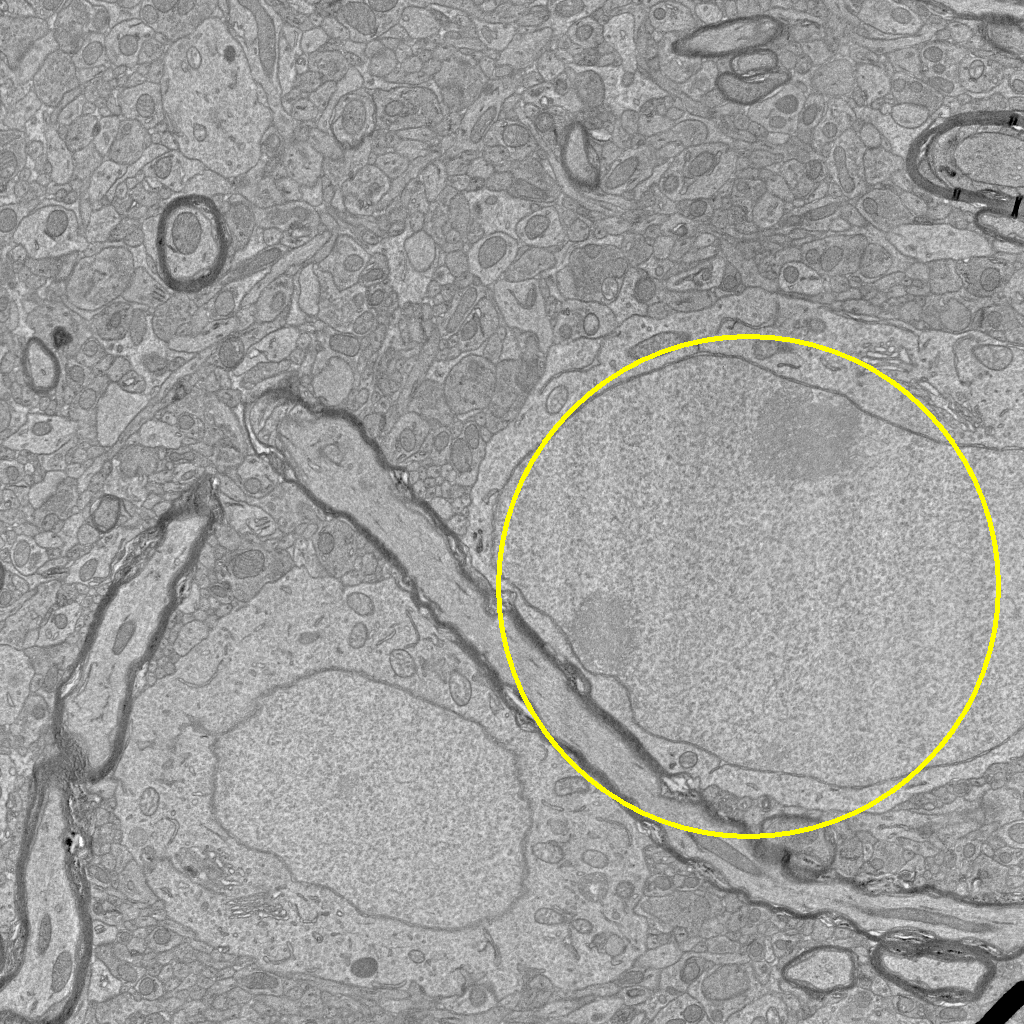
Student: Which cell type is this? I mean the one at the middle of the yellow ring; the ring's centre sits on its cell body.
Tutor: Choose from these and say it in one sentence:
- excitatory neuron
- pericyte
The cell at the ring's centre is an excitatory neuron.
